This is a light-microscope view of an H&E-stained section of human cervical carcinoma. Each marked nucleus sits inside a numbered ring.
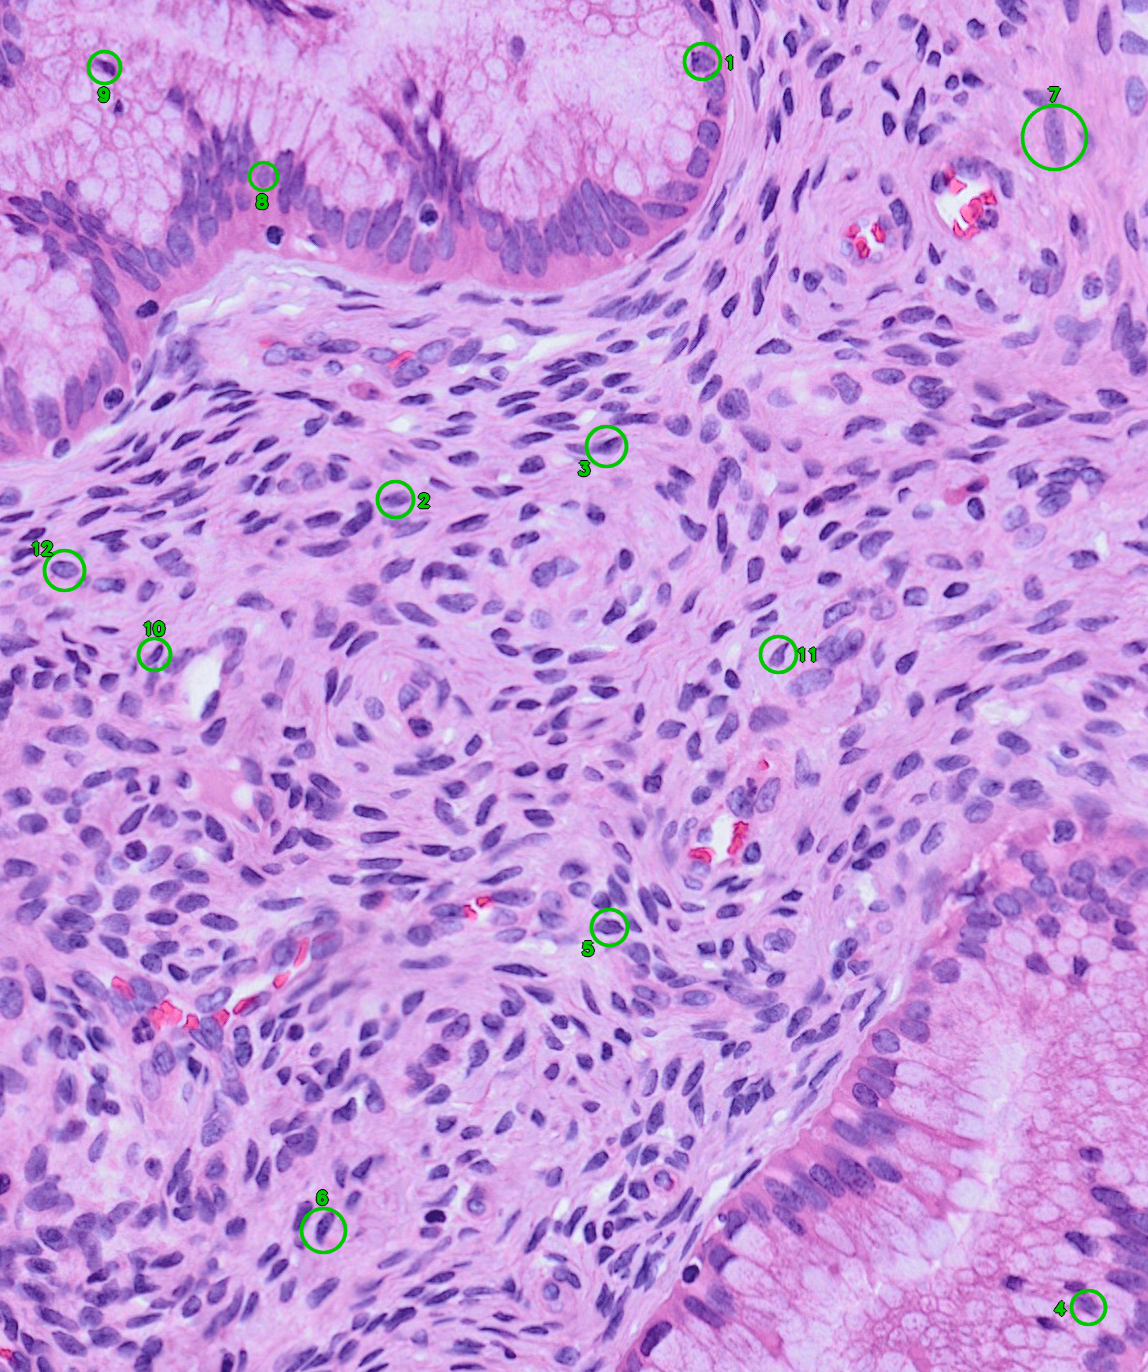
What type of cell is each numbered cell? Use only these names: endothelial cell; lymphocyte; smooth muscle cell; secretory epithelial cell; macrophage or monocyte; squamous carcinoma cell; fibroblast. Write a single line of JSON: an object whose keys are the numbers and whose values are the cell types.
{"1": "secretory epithelial cell", "2": "fibroblast", "3": "fibroblast", "4": "secretory epithelial cell", "5": "fibroblast", "6": "fibroblast", "7": "fibroblast", "8": "secretory epithelial cell", "9": "secretory epithelial cell", "10": "fibroblast", "11": "fibroblast", "12": "smooth muscle cell"}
